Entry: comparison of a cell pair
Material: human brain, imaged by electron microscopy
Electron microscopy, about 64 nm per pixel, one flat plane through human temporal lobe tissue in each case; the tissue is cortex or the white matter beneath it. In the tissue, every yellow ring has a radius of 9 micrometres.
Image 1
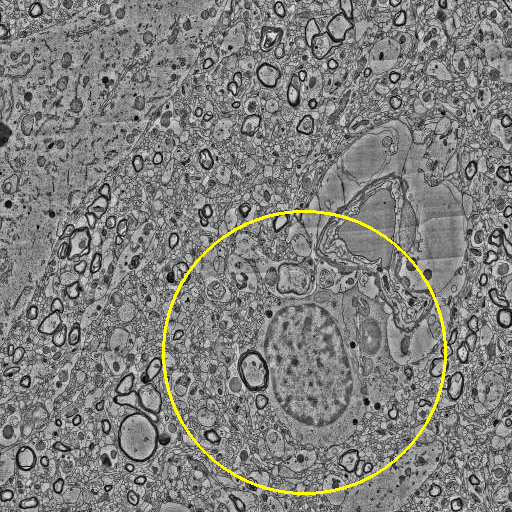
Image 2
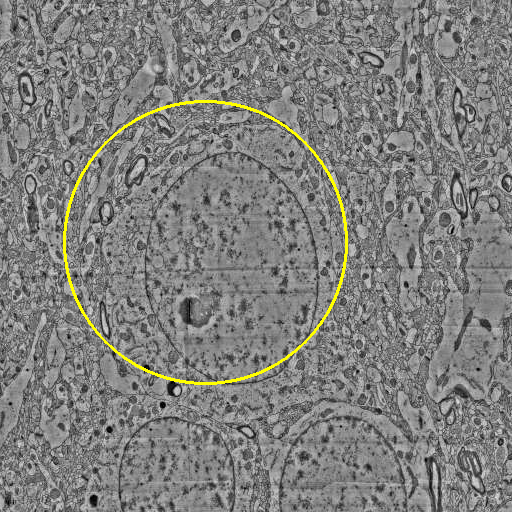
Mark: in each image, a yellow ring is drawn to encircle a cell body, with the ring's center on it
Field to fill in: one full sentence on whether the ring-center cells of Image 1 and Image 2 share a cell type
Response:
No, Image 1 and Image 2 show ring-center cells of two separate types.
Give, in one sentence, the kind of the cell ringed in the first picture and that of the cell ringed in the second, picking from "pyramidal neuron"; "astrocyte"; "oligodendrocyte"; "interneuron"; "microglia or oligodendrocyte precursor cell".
For the first picture it is an oligodendrocyte; for the second, a pyramidal neuron.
